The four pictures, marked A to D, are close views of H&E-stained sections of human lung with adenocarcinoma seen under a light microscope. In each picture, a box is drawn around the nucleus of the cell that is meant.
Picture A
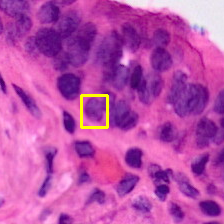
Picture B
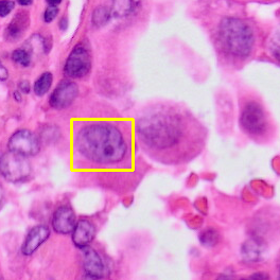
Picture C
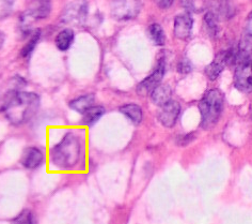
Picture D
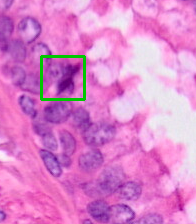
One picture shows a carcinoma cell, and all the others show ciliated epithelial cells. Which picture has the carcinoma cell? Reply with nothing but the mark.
B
